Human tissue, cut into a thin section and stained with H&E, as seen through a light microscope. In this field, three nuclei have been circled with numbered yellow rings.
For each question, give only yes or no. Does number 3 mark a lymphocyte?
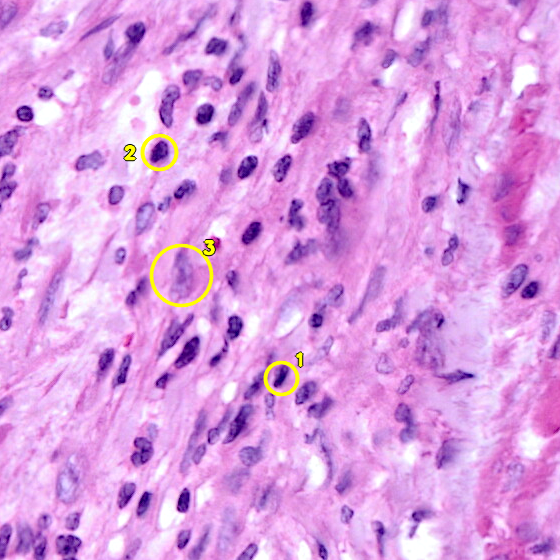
no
